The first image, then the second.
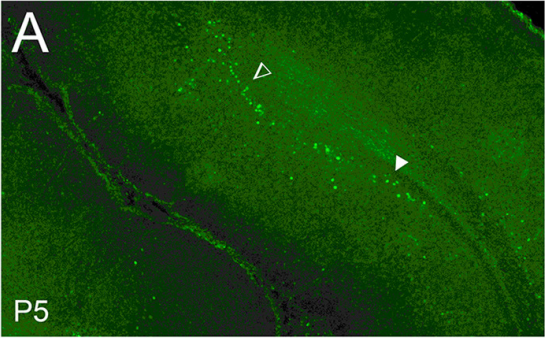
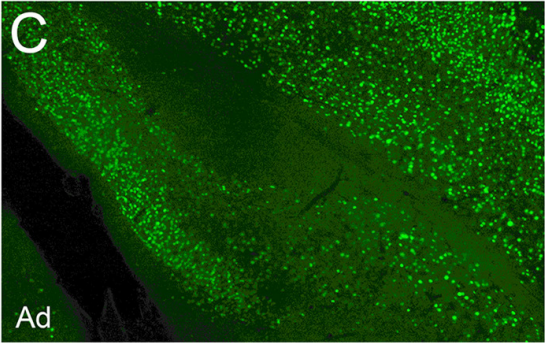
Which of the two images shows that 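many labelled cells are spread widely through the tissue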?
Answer: The second image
